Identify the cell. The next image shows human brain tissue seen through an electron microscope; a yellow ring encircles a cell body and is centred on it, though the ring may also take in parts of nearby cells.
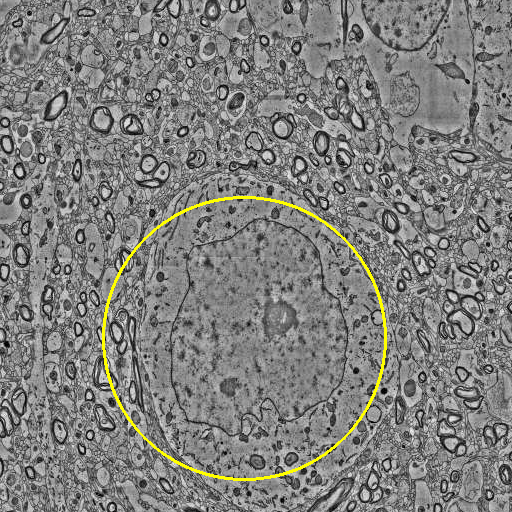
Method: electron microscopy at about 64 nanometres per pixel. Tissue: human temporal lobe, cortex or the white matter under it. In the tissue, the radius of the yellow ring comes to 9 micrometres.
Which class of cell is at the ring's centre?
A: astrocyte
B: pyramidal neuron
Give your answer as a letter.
B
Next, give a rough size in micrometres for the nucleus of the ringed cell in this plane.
In this plane, the nucleus of the cell at the centre of the ring measures about 14 by 12 micrometres.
